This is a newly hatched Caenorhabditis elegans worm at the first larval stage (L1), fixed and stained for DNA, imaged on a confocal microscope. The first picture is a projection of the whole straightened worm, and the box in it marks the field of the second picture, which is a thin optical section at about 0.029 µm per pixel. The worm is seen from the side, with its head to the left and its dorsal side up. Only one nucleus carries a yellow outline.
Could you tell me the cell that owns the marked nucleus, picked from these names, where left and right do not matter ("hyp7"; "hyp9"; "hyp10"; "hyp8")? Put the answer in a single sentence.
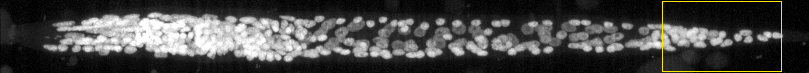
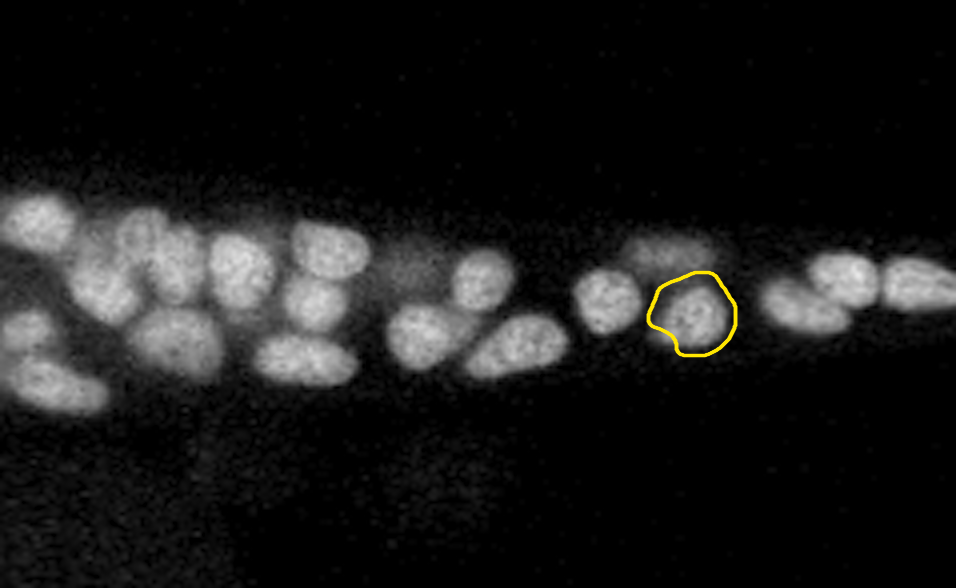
The cell whose nucleus is marked is hyp8, a hypodermal cell (hyp).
